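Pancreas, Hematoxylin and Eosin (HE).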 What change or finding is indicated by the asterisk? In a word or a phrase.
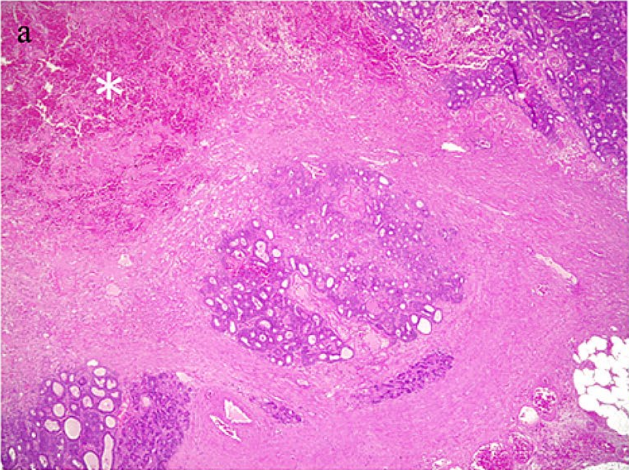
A: Hemorrhage and necrosis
